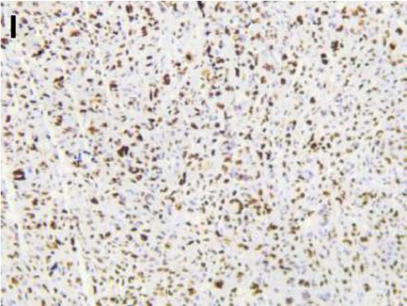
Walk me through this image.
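A dense sheet of tumor cells fills the field, with oval to elongated nuclei set closely in a pale stroma without obvious glands or lumens. Brown and blue nuclei are intermixed evenly across the whole field rather than confined to one zone, and a few thin pale strands of stroma cross the sheet.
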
